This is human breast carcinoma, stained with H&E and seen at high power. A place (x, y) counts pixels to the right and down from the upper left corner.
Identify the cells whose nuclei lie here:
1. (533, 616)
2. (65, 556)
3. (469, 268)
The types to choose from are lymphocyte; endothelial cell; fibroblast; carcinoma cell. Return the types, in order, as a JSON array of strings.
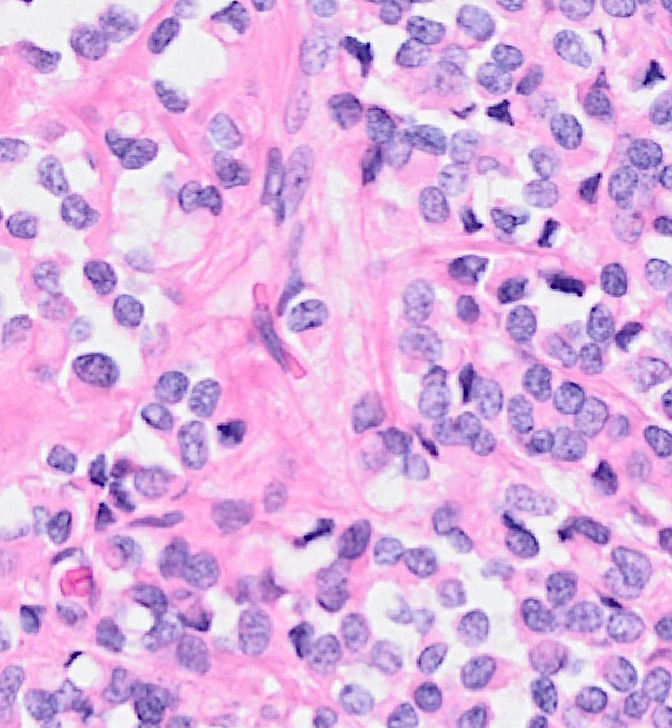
["carcinoma cell", "endothelial cell", "carcinoma cell"]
